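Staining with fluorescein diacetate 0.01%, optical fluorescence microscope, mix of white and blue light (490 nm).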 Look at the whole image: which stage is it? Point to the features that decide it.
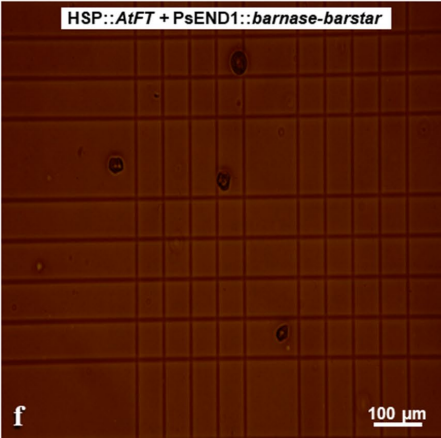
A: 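Few small, dark, irregular grains lie on the counting grid. None of the grains shows green fluorescence. The answer: non-viable pollen grains.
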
